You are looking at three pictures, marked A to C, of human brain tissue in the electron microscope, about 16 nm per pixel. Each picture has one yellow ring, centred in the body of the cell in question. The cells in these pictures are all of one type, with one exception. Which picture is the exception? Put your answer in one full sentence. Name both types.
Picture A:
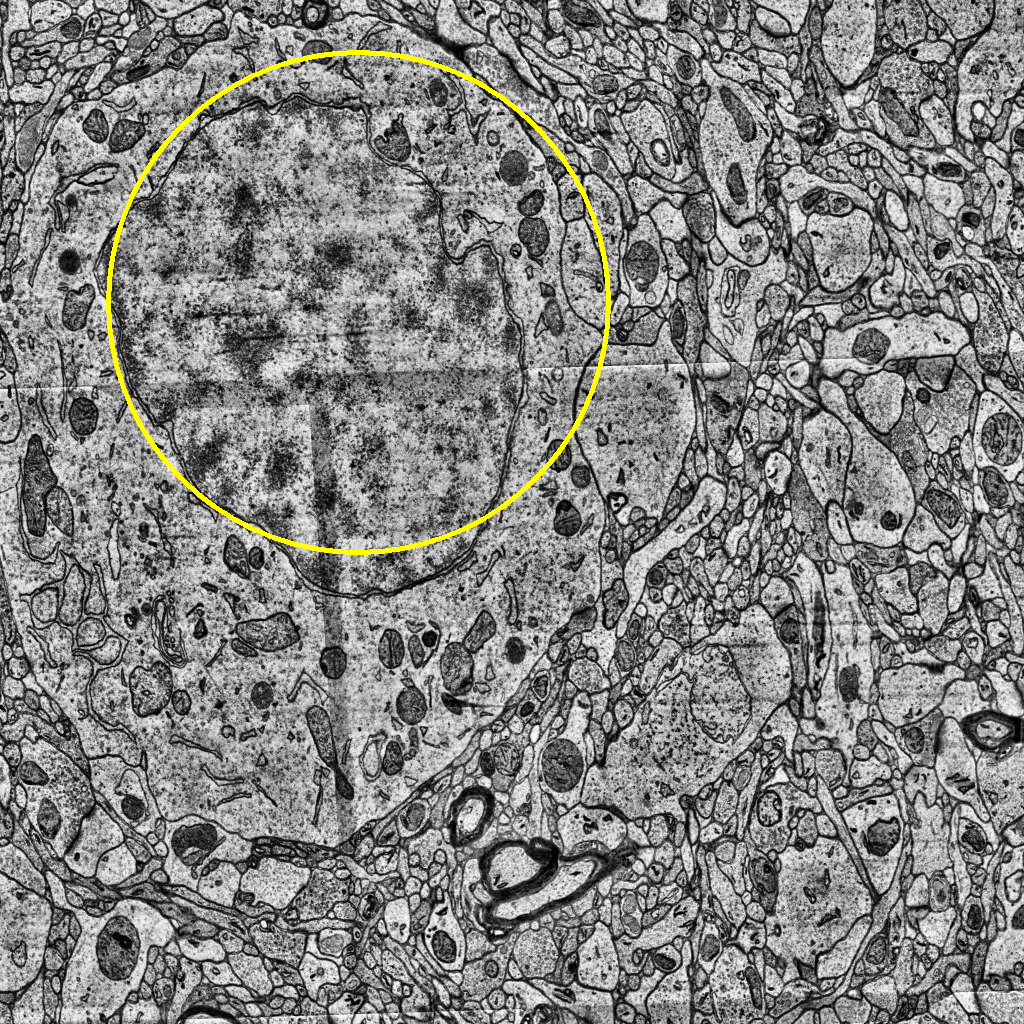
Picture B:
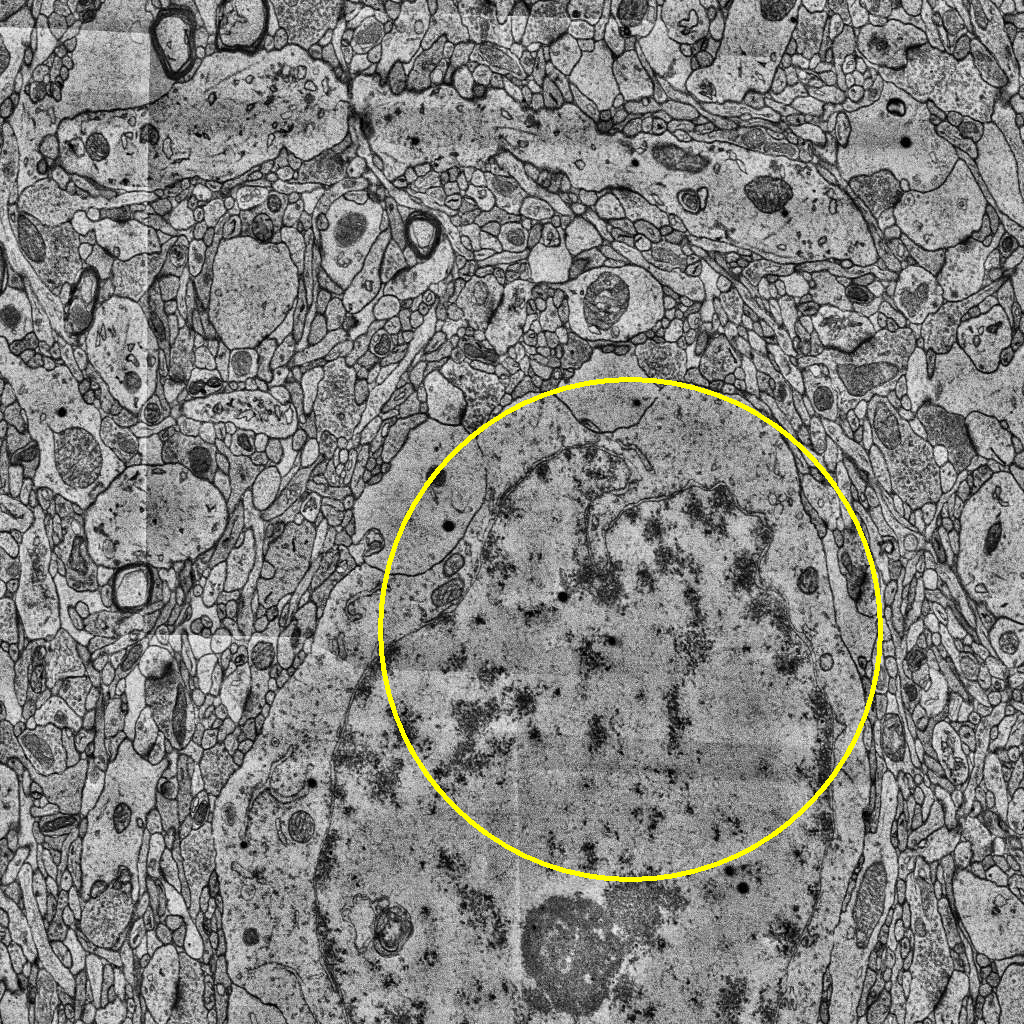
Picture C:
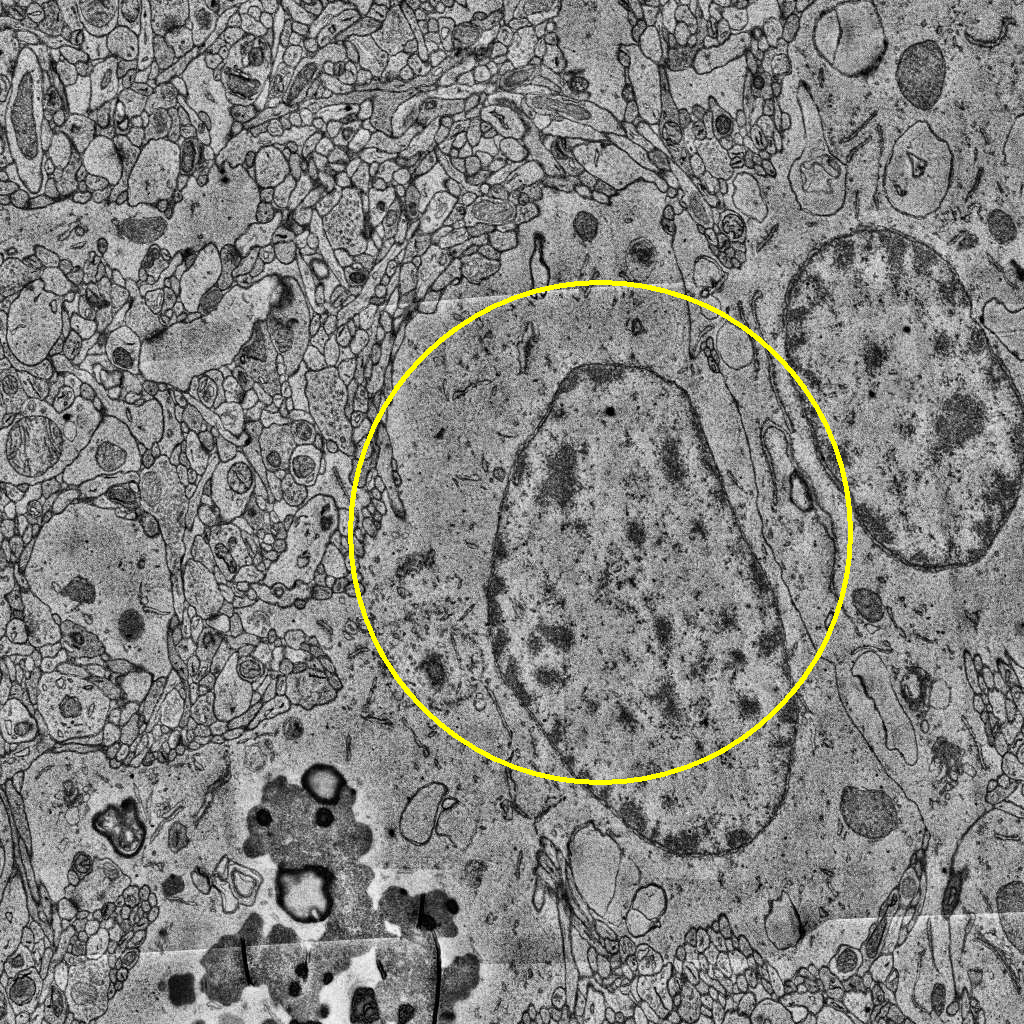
Picture C differs, because its cell is an astrocyte and the rest are interneurons.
